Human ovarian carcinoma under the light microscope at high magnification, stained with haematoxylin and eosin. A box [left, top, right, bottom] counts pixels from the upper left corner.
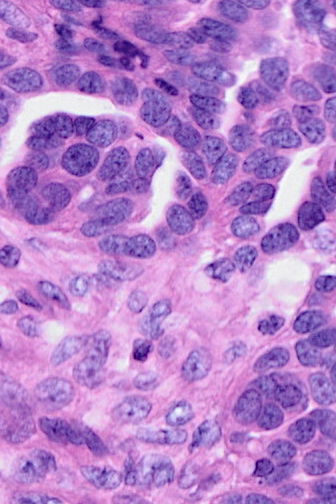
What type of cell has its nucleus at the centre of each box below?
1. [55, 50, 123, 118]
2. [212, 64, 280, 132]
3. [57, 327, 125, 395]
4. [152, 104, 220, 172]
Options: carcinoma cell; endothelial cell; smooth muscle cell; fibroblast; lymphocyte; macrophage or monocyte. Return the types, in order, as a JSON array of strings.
["carcinoma cell", "carcinoma cell", "fibroblast", "carcinoma cell"]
